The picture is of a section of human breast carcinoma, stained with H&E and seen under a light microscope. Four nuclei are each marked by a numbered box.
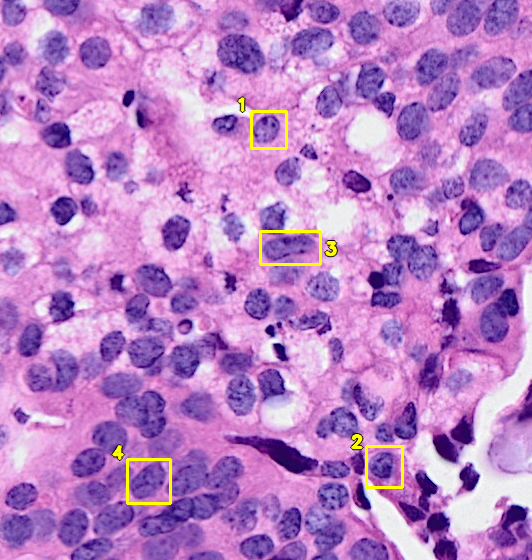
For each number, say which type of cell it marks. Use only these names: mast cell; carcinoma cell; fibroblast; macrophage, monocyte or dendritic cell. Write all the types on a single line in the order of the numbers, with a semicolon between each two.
macrophage, monocyte or dendritic cell; carcinoma cell; carcinoma cell; carcinoma cell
